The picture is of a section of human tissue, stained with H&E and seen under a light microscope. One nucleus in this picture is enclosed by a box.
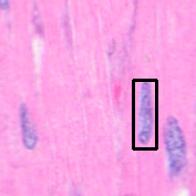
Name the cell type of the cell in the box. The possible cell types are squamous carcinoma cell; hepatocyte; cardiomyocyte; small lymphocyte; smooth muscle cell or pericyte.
cardiomyocyte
